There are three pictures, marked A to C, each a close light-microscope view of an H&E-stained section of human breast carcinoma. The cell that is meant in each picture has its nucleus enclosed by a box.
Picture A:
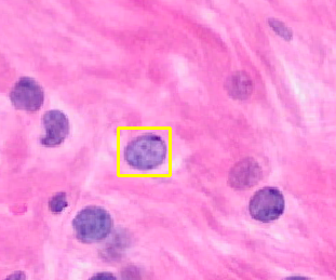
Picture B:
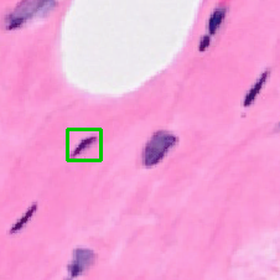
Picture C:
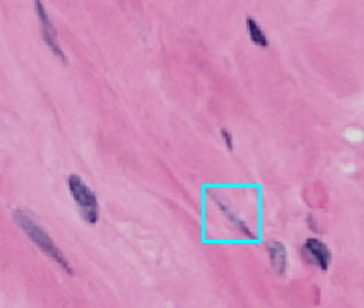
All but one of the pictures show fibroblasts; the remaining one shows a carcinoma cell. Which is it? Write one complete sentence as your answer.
Picture A shows the carcinoma cell.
